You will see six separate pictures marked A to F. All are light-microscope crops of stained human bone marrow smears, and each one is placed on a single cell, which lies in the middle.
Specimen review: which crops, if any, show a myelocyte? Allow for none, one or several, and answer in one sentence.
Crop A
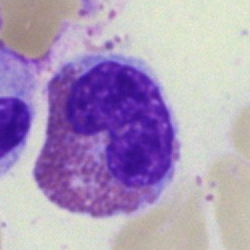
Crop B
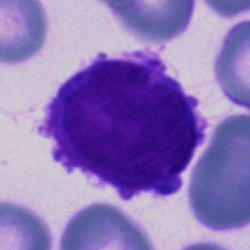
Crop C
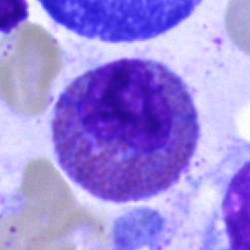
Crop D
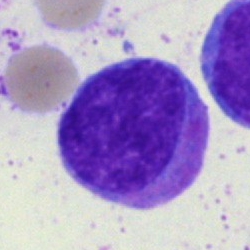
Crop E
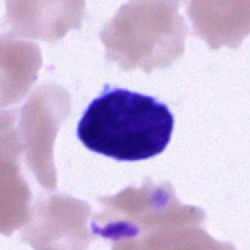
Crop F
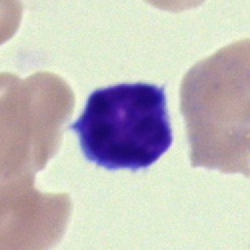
No crop here has a myelocyte as its middle cell.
